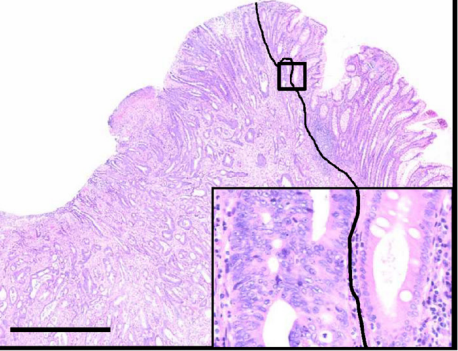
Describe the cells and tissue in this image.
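Colonic mucosa stained pink and purple is split by a drawn line: to its left lie crowded, irregular glands, and to its right long regular glands lined by cells with pale mucin-filled cytoplasm. In the enlargement, the cells left of the line have large, dark, stratified nuclei packed together, while those on the right have small basal nuclei in one row.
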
